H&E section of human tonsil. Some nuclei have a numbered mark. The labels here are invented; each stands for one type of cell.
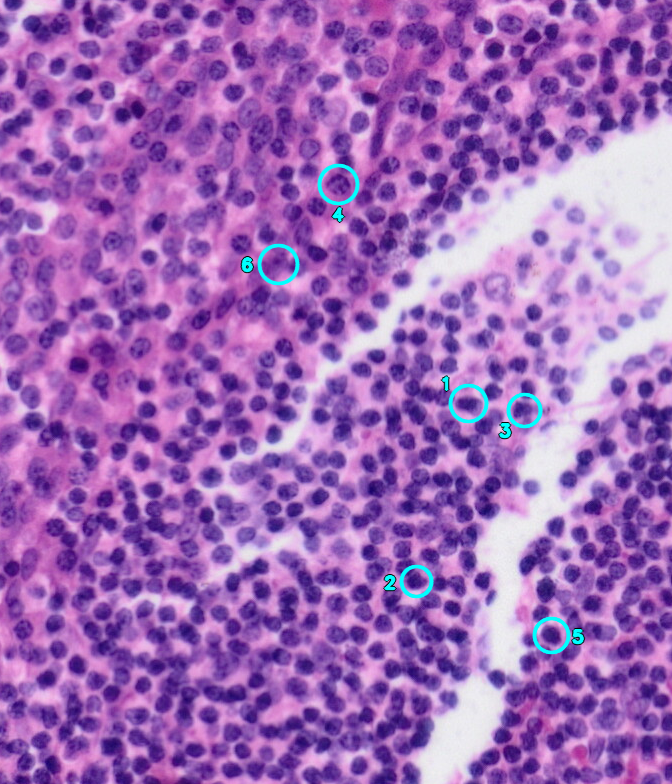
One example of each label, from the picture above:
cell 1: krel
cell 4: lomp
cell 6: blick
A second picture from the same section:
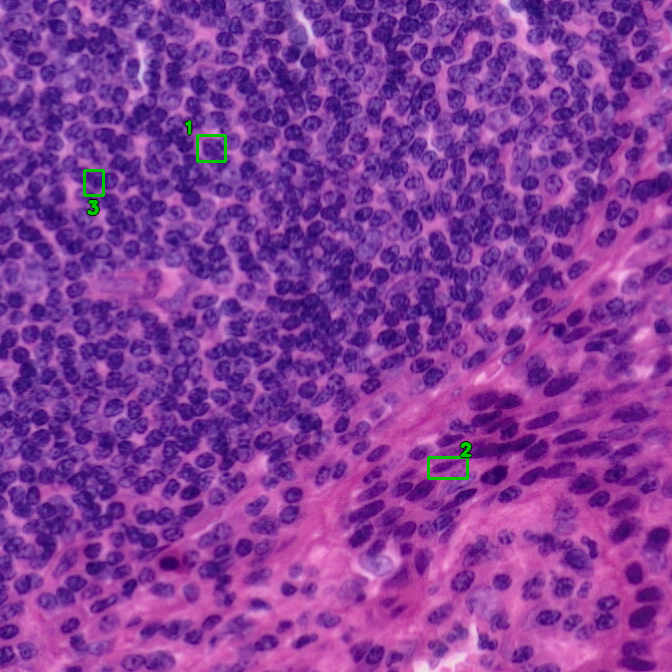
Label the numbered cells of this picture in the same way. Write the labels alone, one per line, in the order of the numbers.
krel
blick
krel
